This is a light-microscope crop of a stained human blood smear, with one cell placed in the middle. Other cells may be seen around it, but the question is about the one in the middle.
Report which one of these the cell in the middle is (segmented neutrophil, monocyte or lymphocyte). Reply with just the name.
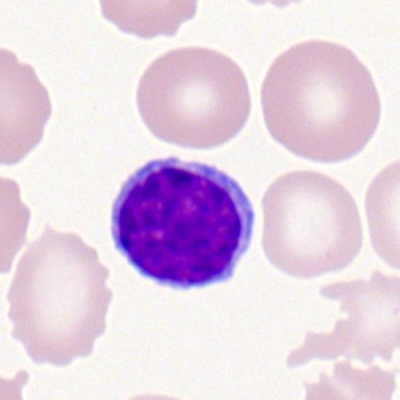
lymphocyte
